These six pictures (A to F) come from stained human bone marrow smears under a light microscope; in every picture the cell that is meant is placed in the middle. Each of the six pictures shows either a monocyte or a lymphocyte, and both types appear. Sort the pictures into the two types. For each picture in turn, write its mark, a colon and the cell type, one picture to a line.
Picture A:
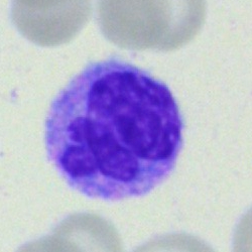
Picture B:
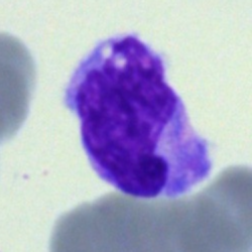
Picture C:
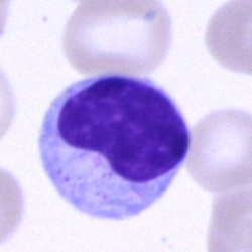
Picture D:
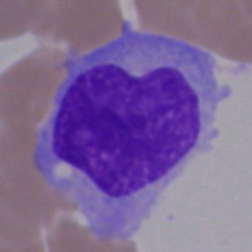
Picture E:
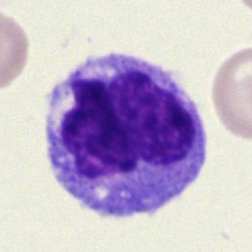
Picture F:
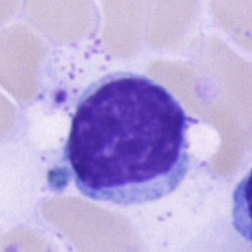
A: monocyte
B: monocyte
C: lymphocyte
D: monocyte
E: monocyte
F: lymphocyte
